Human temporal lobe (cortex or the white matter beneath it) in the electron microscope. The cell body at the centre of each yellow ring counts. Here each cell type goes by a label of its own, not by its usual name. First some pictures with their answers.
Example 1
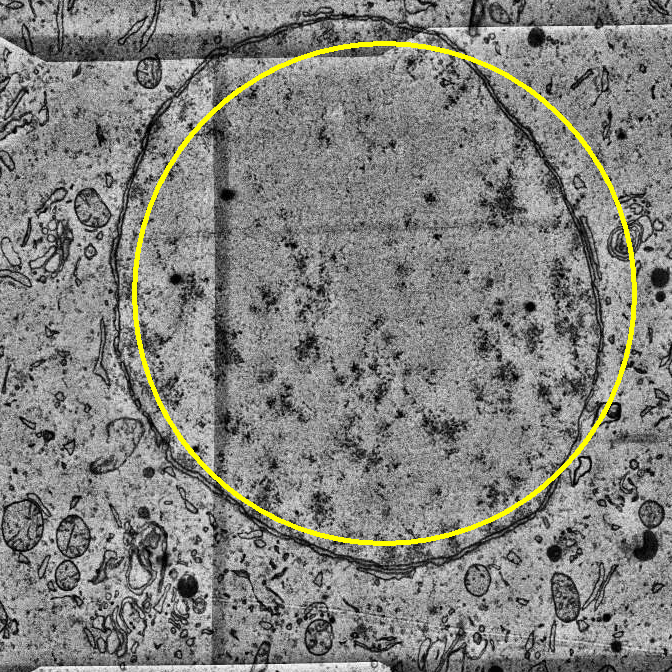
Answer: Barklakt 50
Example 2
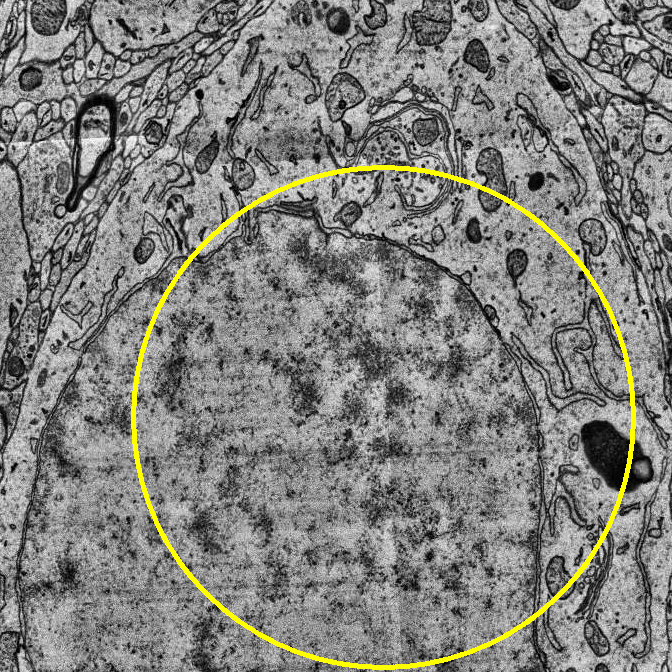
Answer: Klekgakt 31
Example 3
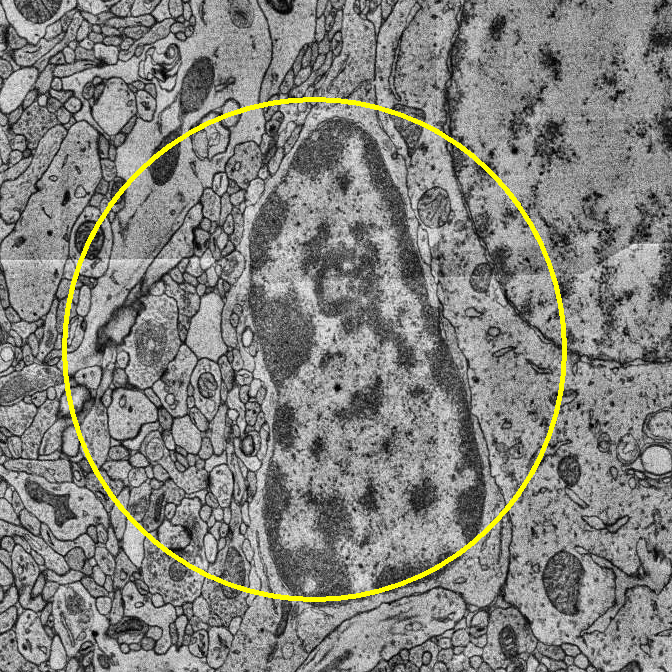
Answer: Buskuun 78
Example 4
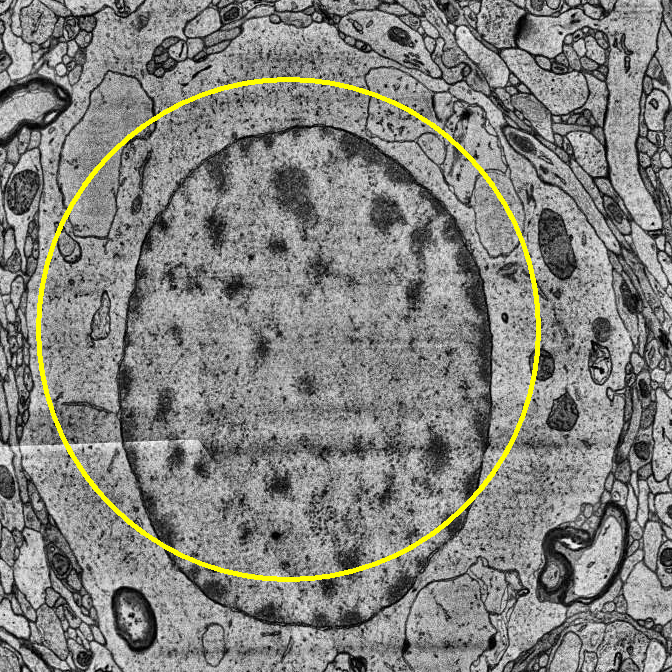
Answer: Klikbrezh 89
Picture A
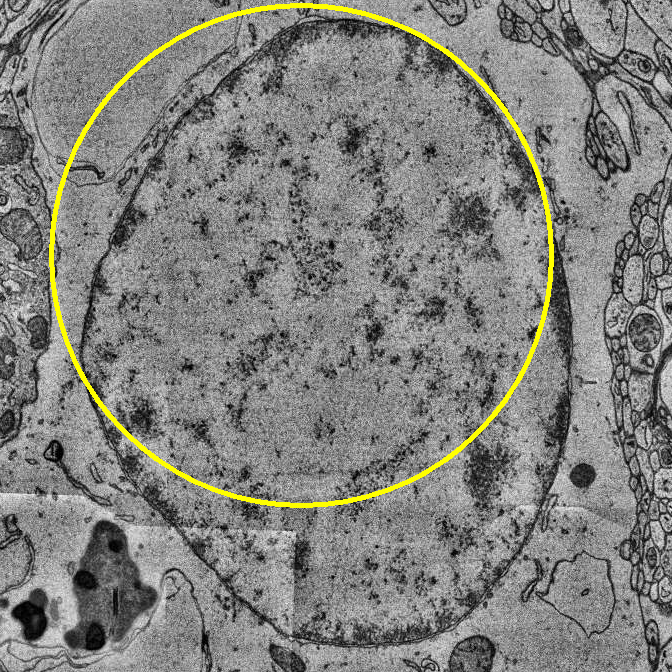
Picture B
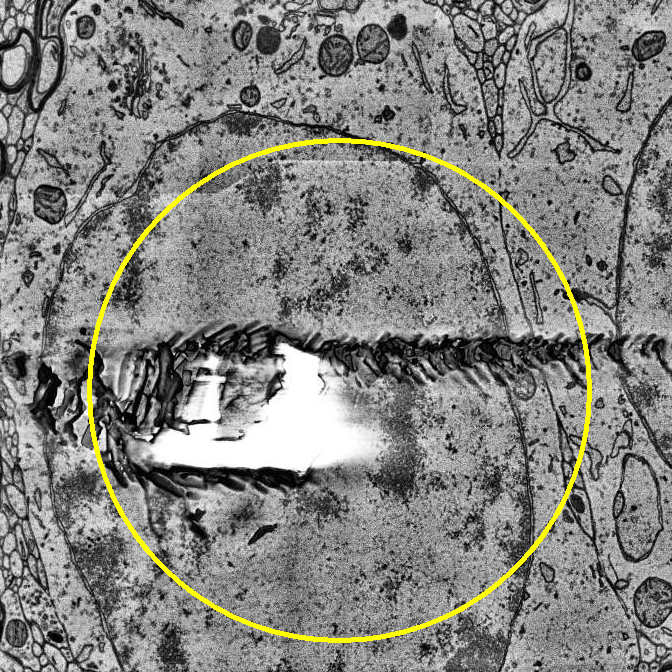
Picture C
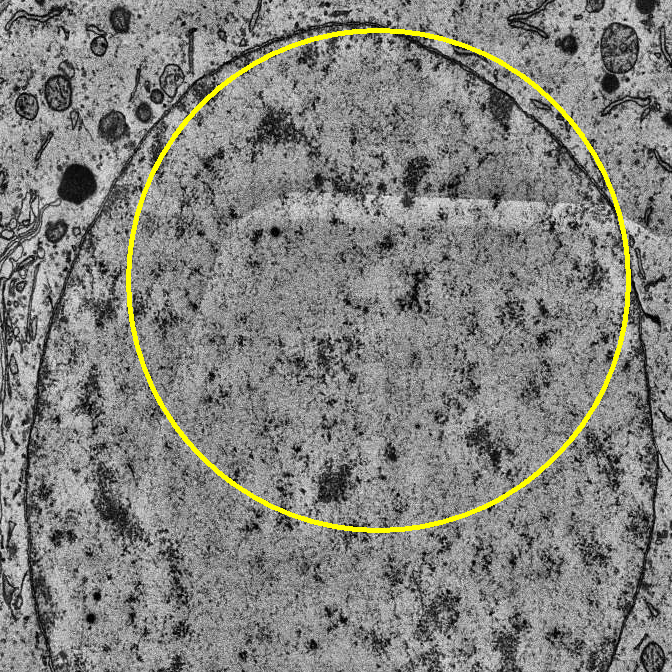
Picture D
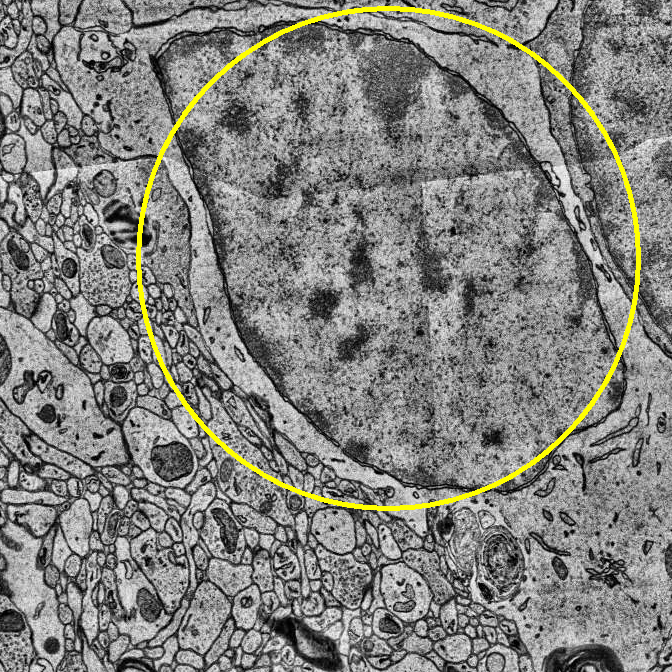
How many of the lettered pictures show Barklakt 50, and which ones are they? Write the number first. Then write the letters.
1, namely C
